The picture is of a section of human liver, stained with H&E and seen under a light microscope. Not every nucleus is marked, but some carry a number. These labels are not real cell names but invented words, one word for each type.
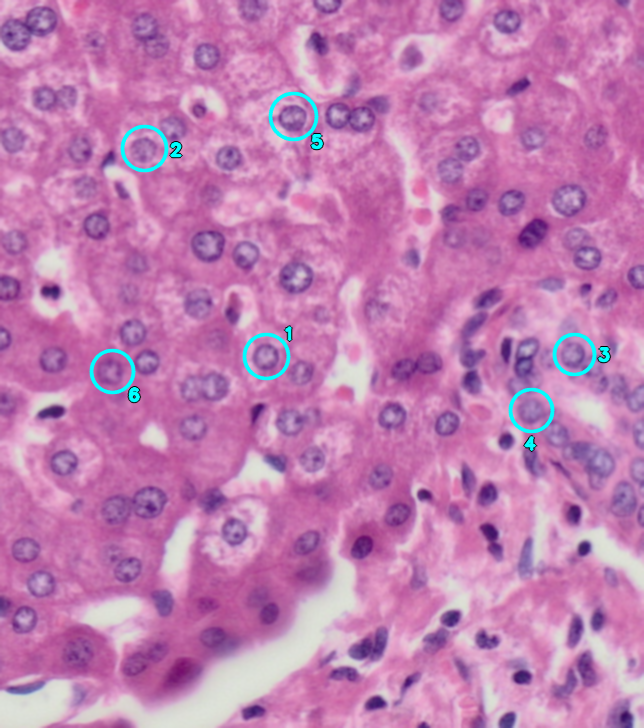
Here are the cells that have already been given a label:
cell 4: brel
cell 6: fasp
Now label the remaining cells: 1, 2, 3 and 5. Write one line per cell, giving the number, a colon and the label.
1: fasp
2: fasp
3: brel
5: fasp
